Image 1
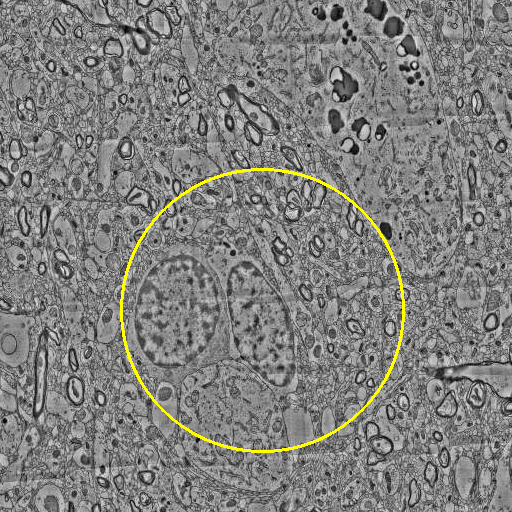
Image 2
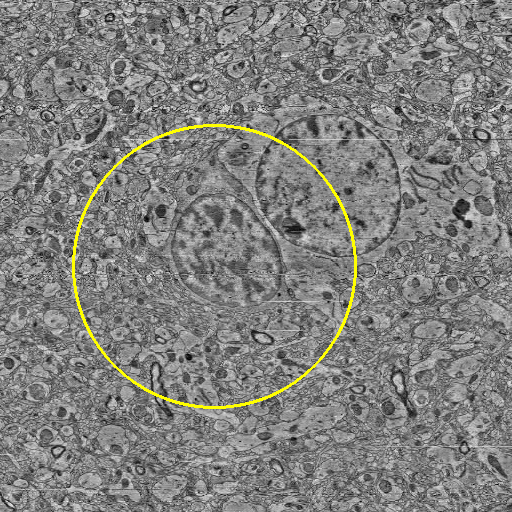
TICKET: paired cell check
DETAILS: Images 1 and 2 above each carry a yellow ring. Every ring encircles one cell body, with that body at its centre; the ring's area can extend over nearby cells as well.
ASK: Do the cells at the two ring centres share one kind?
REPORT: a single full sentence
No, the ring-centre cells of Images 1 and 2 belong to two kinds.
